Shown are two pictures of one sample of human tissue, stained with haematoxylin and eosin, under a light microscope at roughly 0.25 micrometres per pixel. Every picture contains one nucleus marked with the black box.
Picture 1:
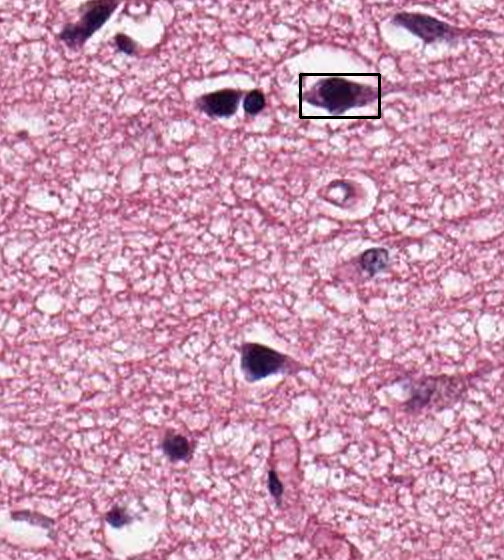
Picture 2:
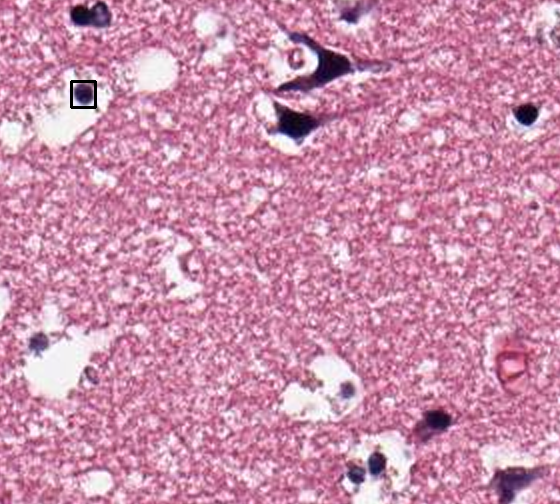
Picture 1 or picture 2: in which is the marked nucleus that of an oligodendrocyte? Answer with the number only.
2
